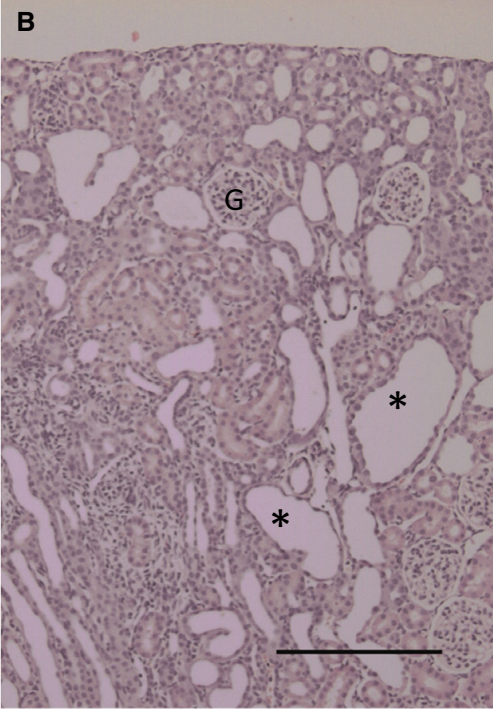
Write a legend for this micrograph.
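This is a section of kidney cortex under the capsule, showing tubules and several glomeruli. Pink tubular epithelium with rounded purple nuclei surrounds glomeruli, which appear as compact round tufts of nuclei in clear capsular spaces. Numerous tubules are dilated into wide, pale, empty lumens of irregular outline. Two of the largest, marked by asterisks, are cyst-like spaces lined by a thin, flattened cell layer. Narrow straight tubules run in parallel toward the lower left.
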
